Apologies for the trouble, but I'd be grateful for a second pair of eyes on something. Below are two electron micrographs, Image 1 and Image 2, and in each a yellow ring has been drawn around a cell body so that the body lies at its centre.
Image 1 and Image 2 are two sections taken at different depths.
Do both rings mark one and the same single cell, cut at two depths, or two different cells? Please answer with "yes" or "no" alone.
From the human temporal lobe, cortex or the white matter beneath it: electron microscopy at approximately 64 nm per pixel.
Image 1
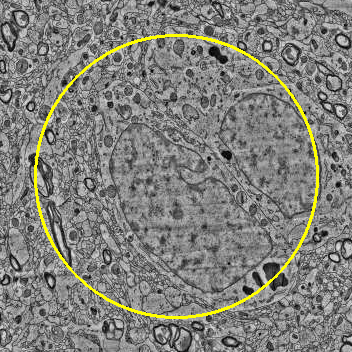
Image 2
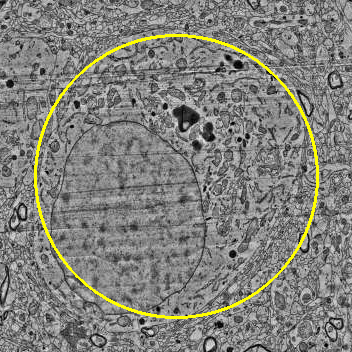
no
